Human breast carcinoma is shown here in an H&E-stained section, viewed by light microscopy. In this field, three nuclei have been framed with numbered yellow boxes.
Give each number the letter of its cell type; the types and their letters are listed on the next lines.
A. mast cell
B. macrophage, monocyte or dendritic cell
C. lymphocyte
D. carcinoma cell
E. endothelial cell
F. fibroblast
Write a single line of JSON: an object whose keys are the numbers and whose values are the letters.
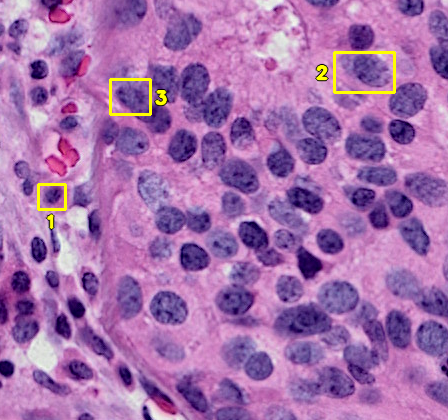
{"1": "A", "2": "D", "3": "D"}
